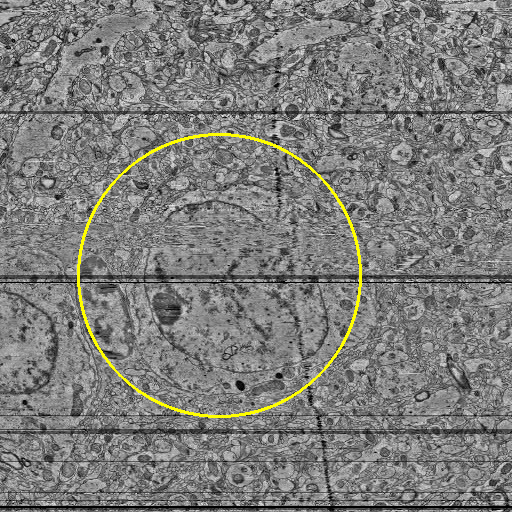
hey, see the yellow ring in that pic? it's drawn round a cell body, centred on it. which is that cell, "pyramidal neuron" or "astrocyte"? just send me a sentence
The cell in the ring is a pyramidal neuron.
